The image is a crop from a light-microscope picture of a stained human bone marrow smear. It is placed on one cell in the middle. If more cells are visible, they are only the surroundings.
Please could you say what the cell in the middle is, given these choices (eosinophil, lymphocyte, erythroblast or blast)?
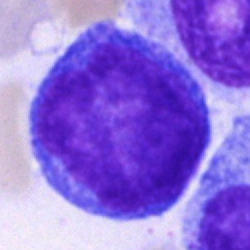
blast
